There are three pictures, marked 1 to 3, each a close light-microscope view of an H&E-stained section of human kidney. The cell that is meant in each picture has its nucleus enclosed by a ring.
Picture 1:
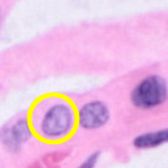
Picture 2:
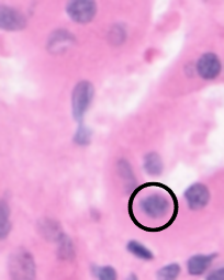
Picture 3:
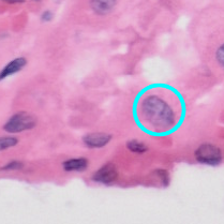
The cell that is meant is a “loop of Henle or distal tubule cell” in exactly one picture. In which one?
2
